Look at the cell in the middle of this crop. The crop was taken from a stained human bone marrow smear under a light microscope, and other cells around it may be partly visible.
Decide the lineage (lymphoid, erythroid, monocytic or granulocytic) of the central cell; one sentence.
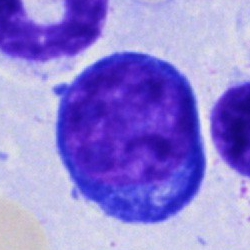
The middle cell is a constituent of the erythroid lineage.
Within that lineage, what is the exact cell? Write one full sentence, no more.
The middle cell in this particular crop is a proerythroblast.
